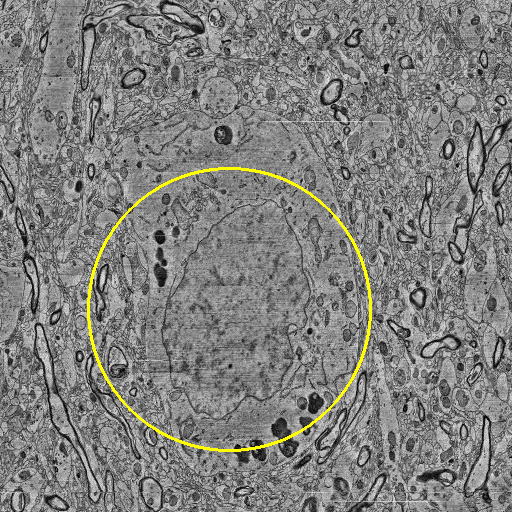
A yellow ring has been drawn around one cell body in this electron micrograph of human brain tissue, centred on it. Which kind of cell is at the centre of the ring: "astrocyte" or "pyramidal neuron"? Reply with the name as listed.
pyramidal neuron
